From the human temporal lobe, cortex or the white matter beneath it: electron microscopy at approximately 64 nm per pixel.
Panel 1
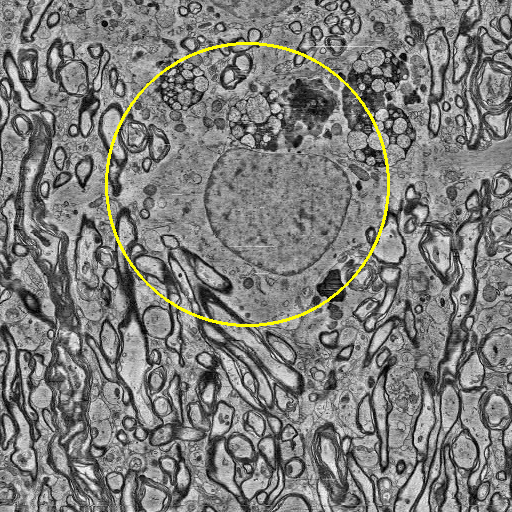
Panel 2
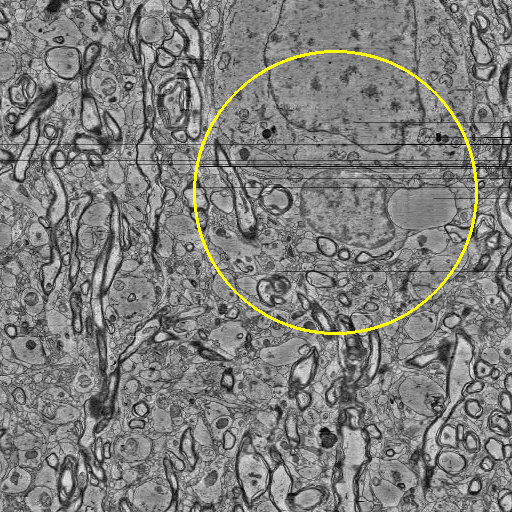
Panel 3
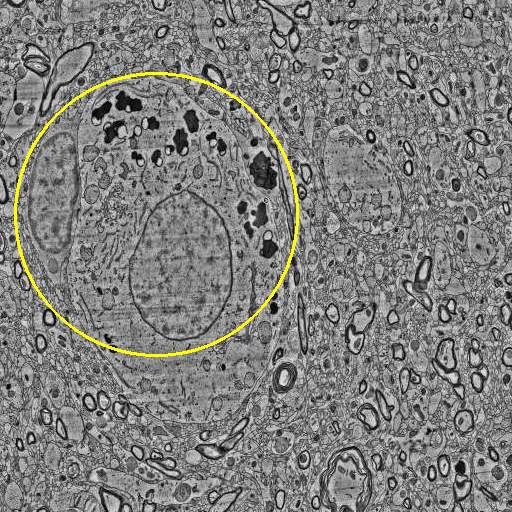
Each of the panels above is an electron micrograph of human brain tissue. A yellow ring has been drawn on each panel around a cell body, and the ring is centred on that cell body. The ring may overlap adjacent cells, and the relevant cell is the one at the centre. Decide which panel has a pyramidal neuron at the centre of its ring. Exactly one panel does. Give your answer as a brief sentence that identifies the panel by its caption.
Panel 3 is the one with it at the centre of the ring.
